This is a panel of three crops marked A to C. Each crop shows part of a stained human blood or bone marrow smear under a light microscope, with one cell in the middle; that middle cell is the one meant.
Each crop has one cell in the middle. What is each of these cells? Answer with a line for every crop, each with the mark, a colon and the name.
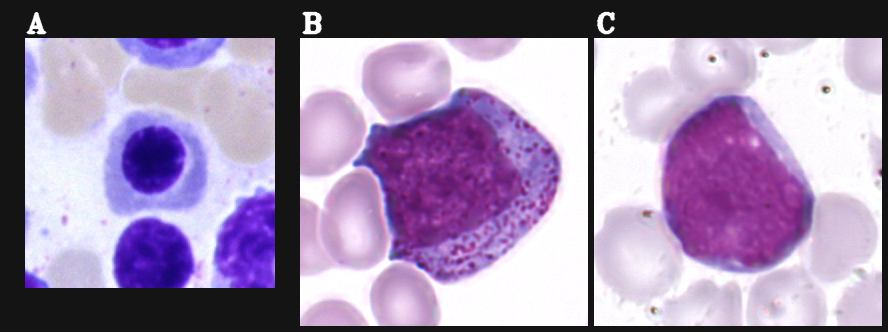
A: erythroblast
B: promyelocyte
C: blast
